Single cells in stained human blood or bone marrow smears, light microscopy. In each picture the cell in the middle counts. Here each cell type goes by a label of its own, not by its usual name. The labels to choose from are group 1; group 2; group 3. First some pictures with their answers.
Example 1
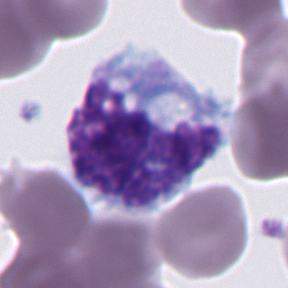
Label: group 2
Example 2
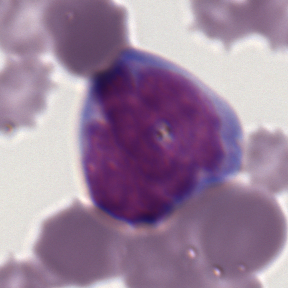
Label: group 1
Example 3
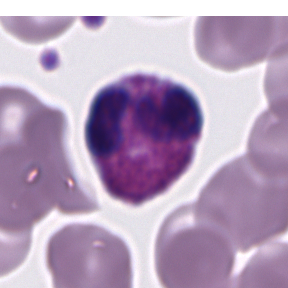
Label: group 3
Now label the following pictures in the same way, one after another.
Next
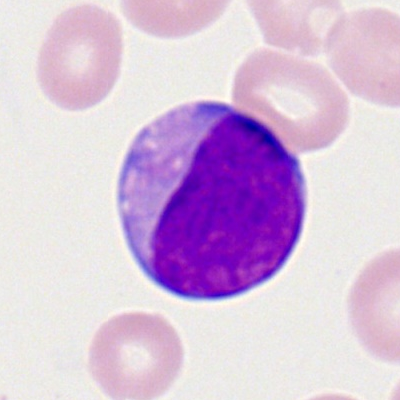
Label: group 1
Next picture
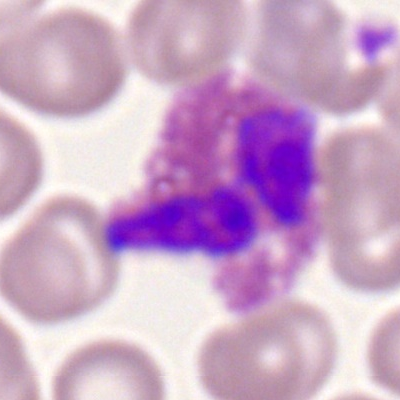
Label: group 3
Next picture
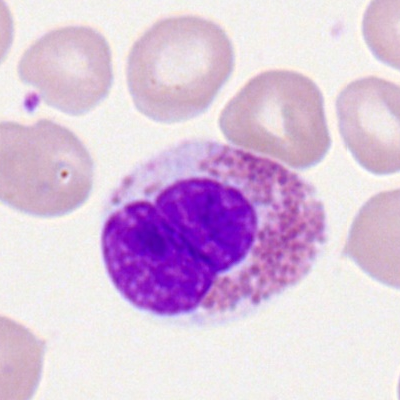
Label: group 3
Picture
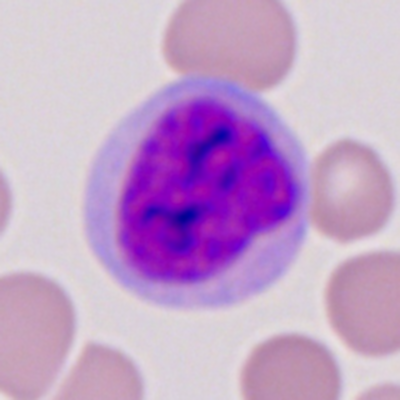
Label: group 2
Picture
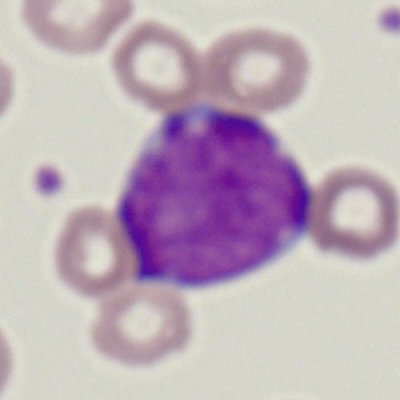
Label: group 1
